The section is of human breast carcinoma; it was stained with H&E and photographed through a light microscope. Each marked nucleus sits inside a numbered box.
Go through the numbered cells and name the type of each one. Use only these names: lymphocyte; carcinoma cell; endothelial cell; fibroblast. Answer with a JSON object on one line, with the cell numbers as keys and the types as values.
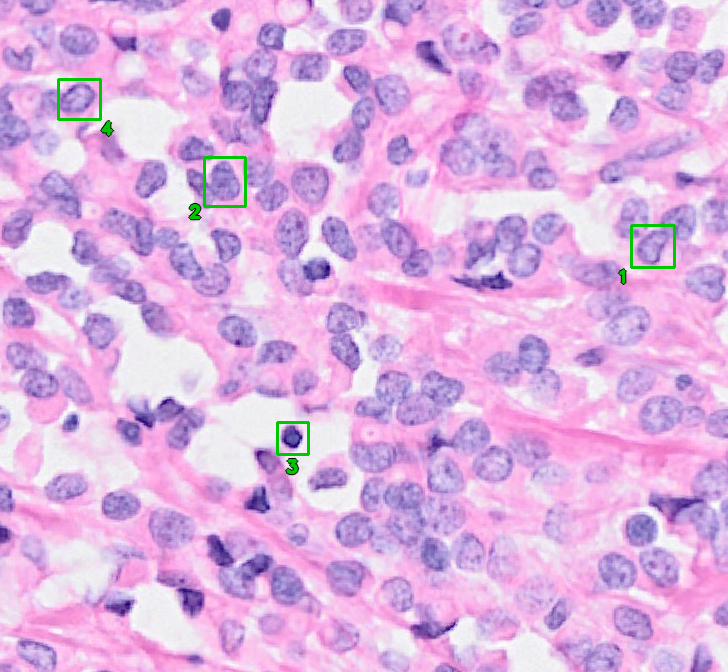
{"1": "carcinoma cell", "2": "carcinoma cell", "3": "lymphocyte", "4": "carcinoma cell"}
